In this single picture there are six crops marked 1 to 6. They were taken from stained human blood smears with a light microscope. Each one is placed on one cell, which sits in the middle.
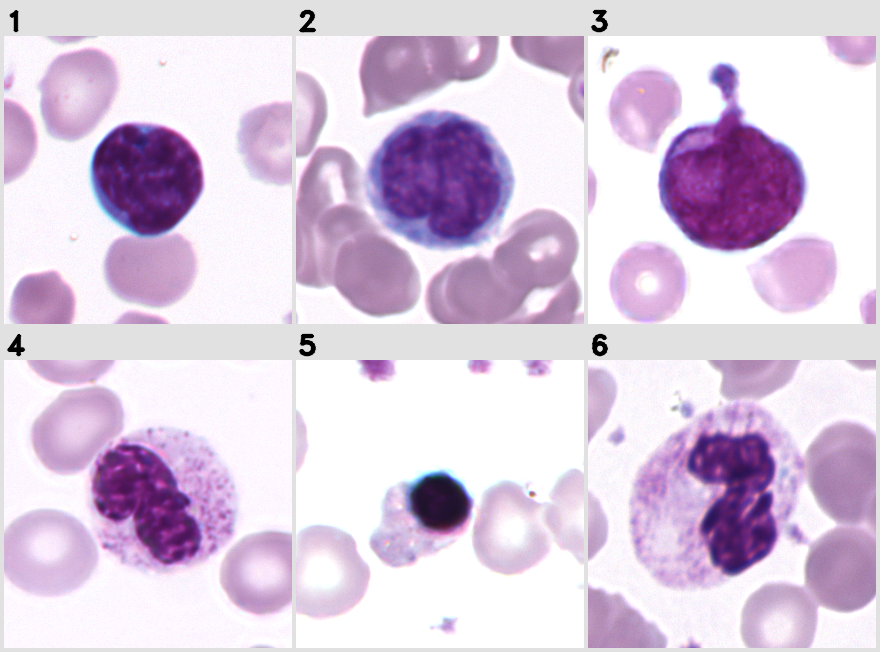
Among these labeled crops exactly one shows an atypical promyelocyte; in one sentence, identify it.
Of the cells presented, the one in crop 3 is an atypical promyelocyte.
